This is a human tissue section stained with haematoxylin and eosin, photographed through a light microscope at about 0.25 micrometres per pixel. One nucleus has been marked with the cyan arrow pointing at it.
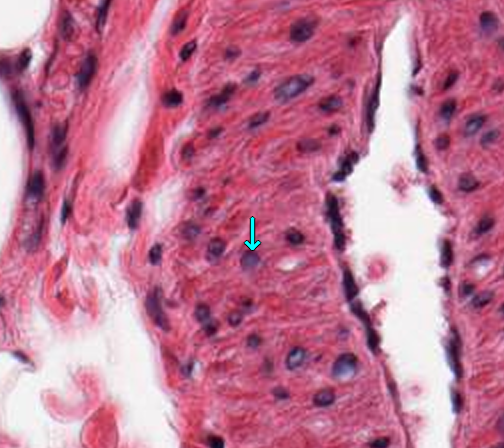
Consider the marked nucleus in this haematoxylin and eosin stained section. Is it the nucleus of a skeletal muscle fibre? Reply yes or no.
no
